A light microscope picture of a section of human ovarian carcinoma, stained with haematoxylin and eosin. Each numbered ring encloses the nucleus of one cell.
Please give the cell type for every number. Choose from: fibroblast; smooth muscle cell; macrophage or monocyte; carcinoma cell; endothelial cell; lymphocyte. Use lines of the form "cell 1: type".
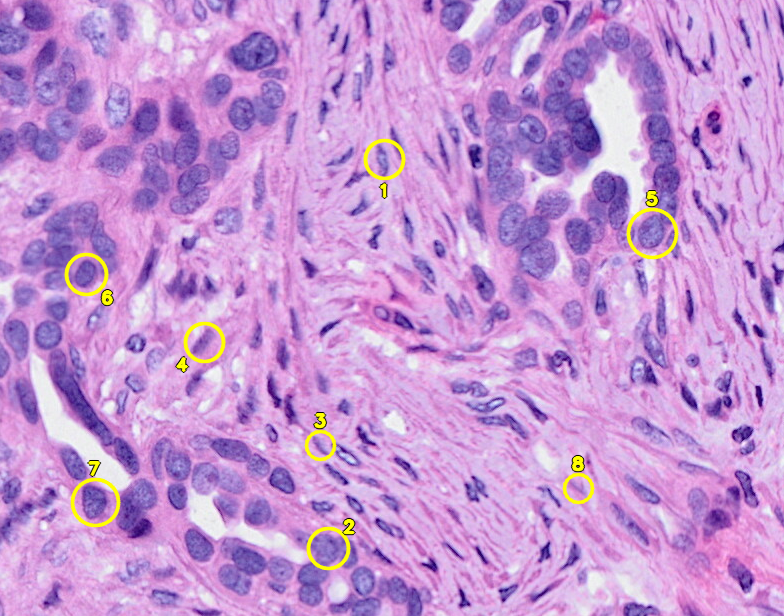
cell 1: fibroblast
cell 2: carcinoma cell
cell 3: fibroblast
cell 4: fibroblast
cell 5: carcinoma cell
cell 6: carcinoma cell
cell 7: carcinoma cell
cell 8: fibroblast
